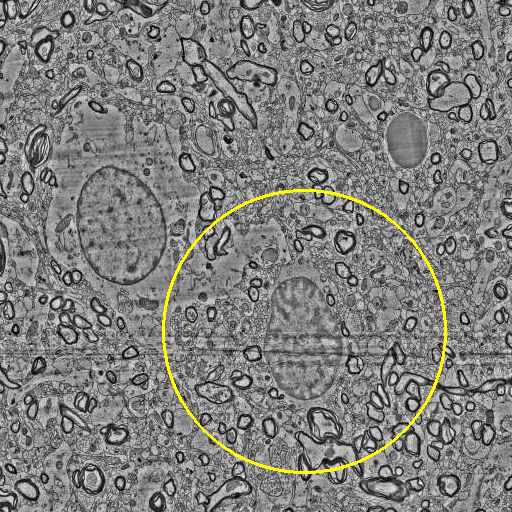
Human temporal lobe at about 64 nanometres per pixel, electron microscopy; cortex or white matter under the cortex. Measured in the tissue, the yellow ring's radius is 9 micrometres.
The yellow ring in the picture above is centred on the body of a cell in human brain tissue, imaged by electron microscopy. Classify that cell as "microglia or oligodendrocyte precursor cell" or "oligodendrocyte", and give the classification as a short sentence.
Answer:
The cell in the middle of the ring is an oligodendrocyte.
